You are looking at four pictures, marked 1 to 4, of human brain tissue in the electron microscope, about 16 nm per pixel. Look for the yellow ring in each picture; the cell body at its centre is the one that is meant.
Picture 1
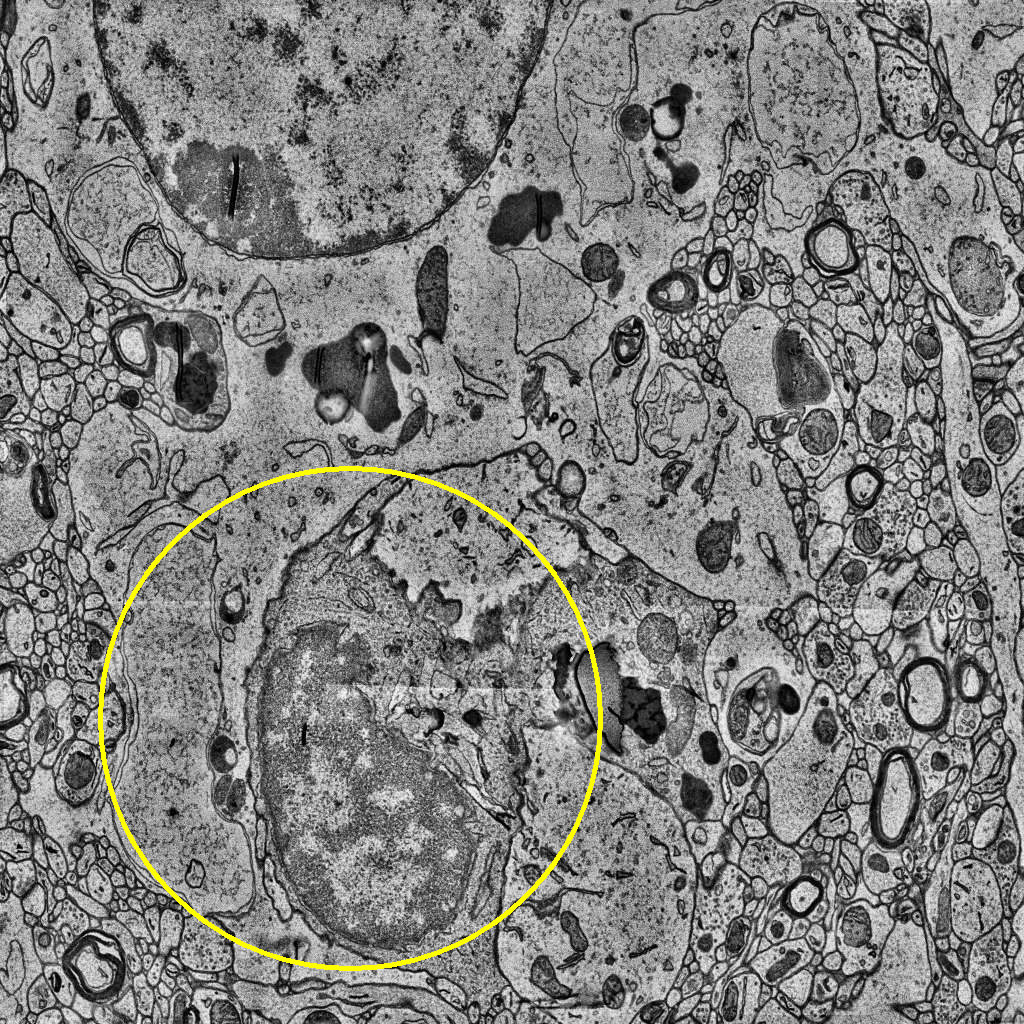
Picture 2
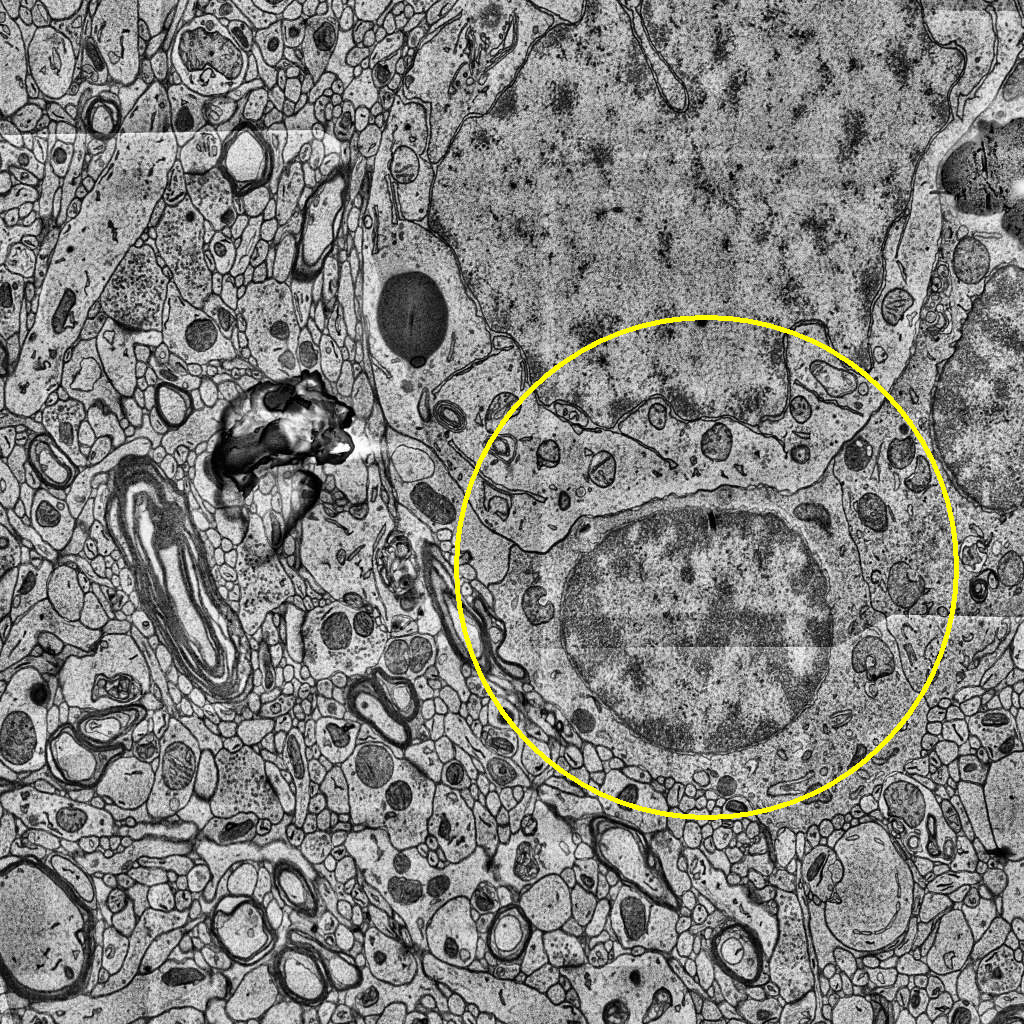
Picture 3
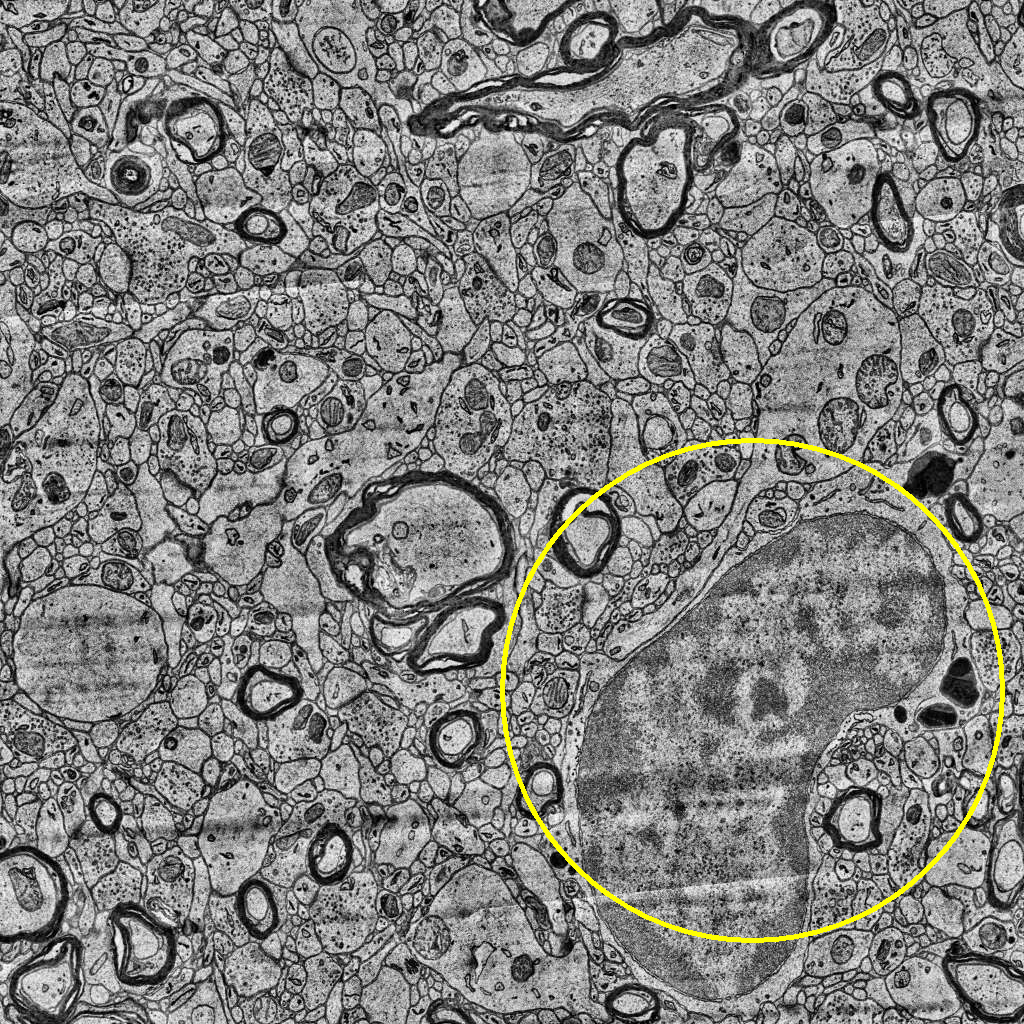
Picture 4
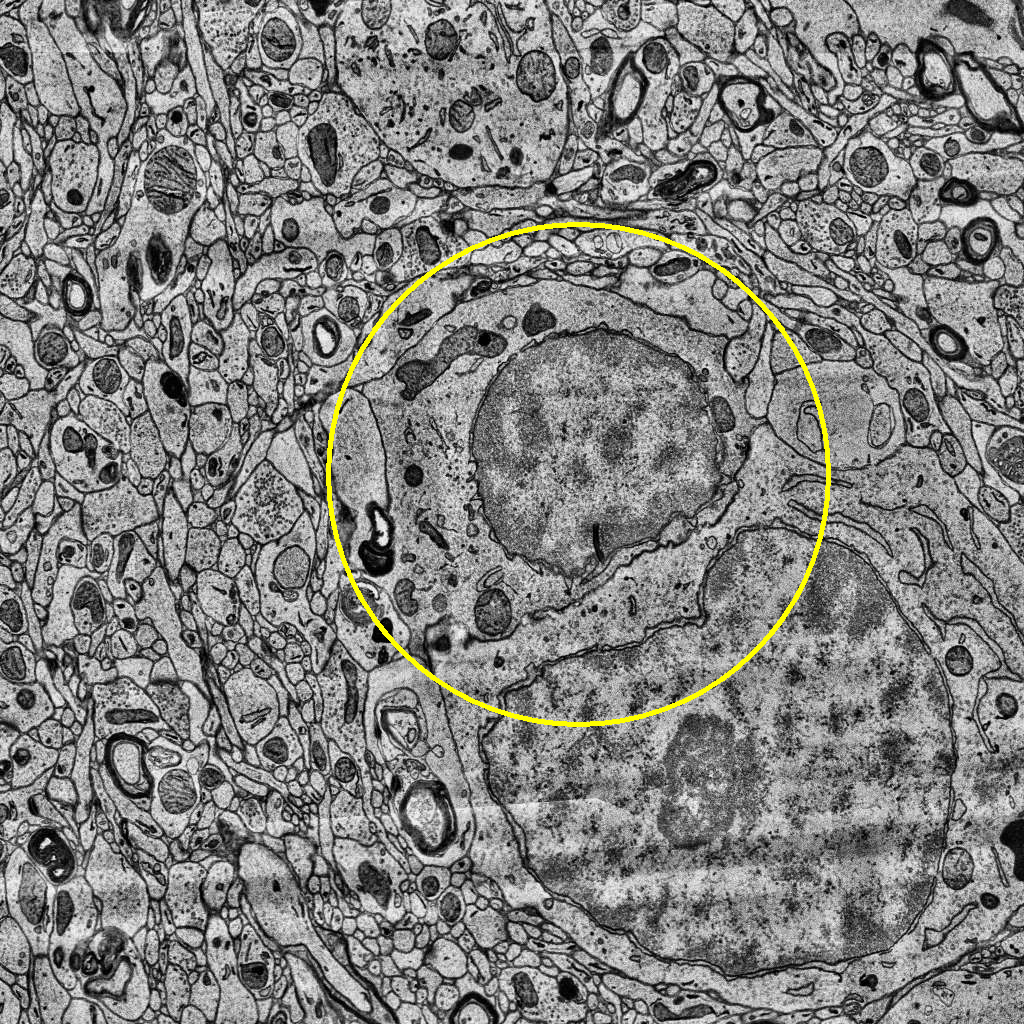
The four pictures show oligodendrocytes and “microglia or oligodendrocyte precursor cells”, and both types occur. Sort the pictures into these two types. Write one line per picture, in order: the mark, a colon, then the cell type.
1: oligodendrocyte
2: oligodendrocyte
3: microglia or oligodendrocyte precursor cell
4: oligodendrocyte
